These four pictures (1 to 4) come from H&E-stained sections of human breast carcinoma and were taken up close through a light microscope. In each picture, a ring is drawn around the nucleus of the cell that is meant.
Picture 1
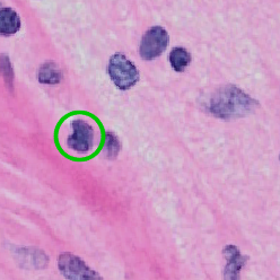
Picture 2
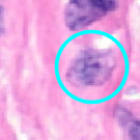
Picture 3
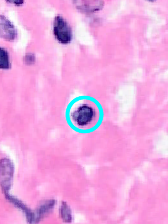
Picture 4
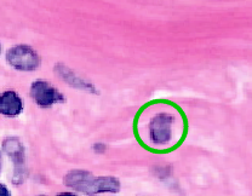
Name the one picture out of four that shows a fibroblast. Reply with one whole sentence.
The cell in picture 2 is the fibroblast.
